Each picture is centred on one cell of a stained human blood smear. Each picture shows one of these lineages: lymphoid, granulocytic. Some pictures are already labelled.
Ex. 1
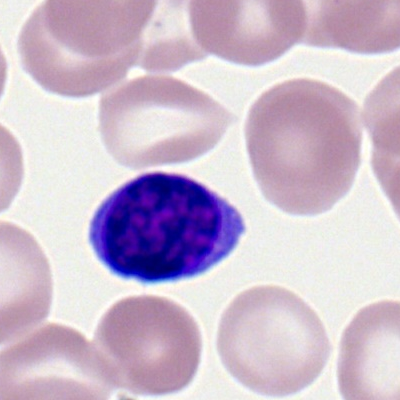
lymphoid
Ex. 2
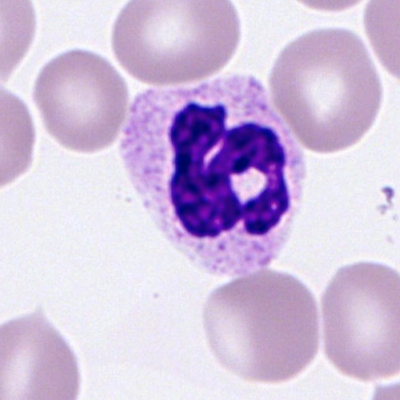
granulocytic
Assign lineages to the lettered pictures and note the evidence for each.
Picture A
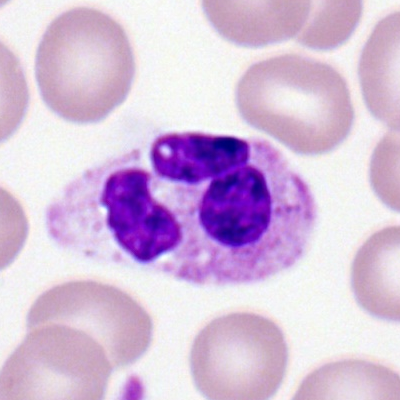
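Label: granulocytic. The cytoplasm is abundant and pale pinkish-lilac.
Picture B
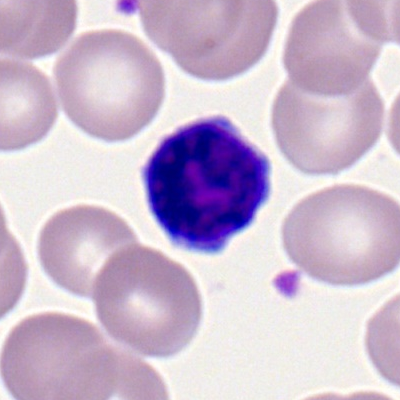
Label: lymphoid. Only a very thin rim of cytoplasm shows, mainly at the upper and lower edges.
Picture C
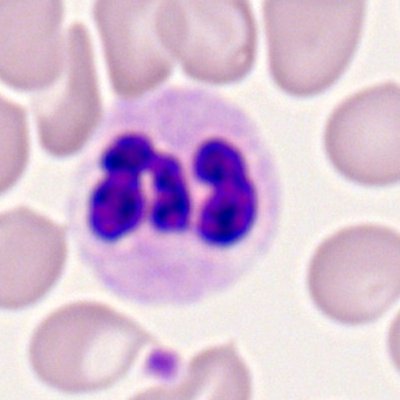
Label: granulocytic. The nucleus is divided into several separate lobes.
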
